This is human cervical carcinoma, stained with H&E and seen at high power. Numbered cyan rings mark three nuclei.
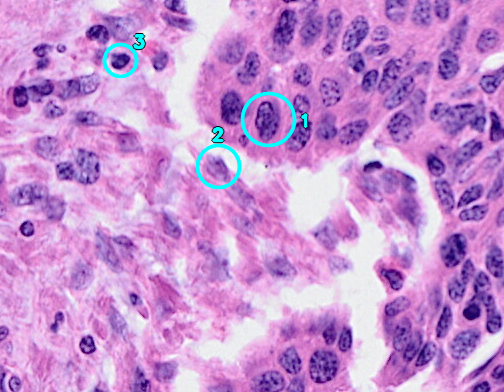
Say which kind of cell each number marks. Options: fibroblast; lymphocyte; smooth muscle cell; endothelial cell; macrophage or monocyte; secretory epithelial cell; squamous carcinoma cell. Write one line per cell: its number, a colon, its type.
1: squamous carcinoma cell
2: fibroblast
3: lymphocyte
